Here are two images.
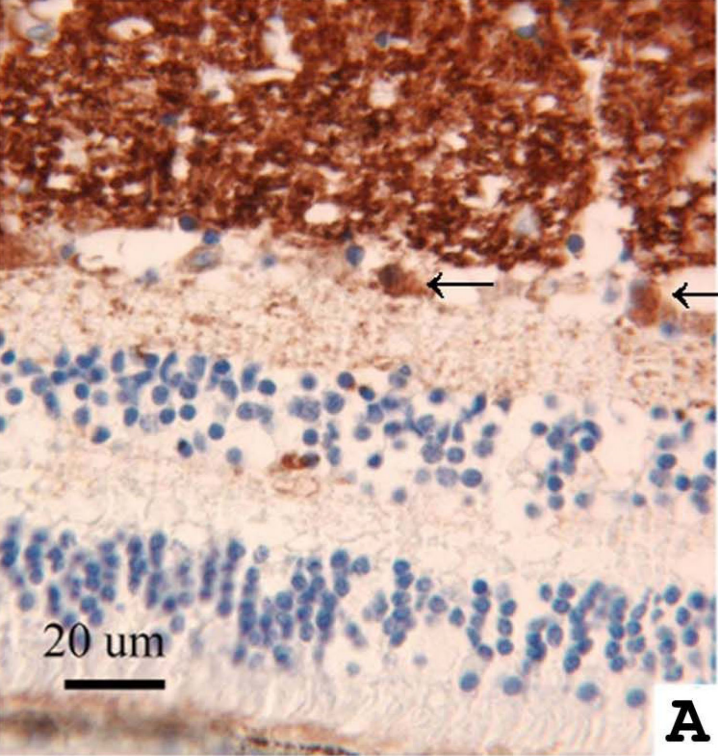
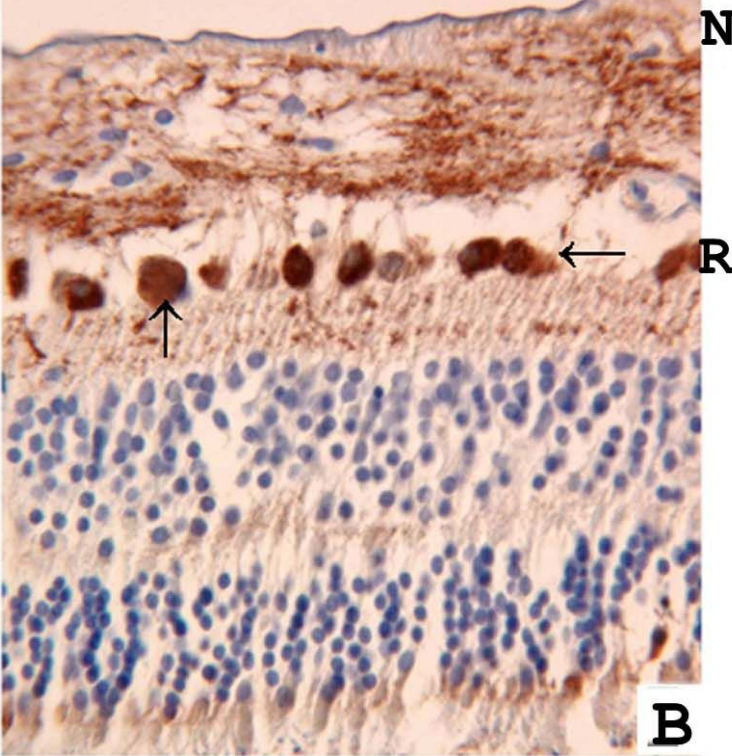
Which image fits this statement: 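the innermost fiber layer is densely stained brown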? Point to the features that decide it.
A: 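Second image: the top fibrous layer is loose and only moderately brown. First image: the top fibrous layer is thick and intensely dark brown.
The first image.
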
